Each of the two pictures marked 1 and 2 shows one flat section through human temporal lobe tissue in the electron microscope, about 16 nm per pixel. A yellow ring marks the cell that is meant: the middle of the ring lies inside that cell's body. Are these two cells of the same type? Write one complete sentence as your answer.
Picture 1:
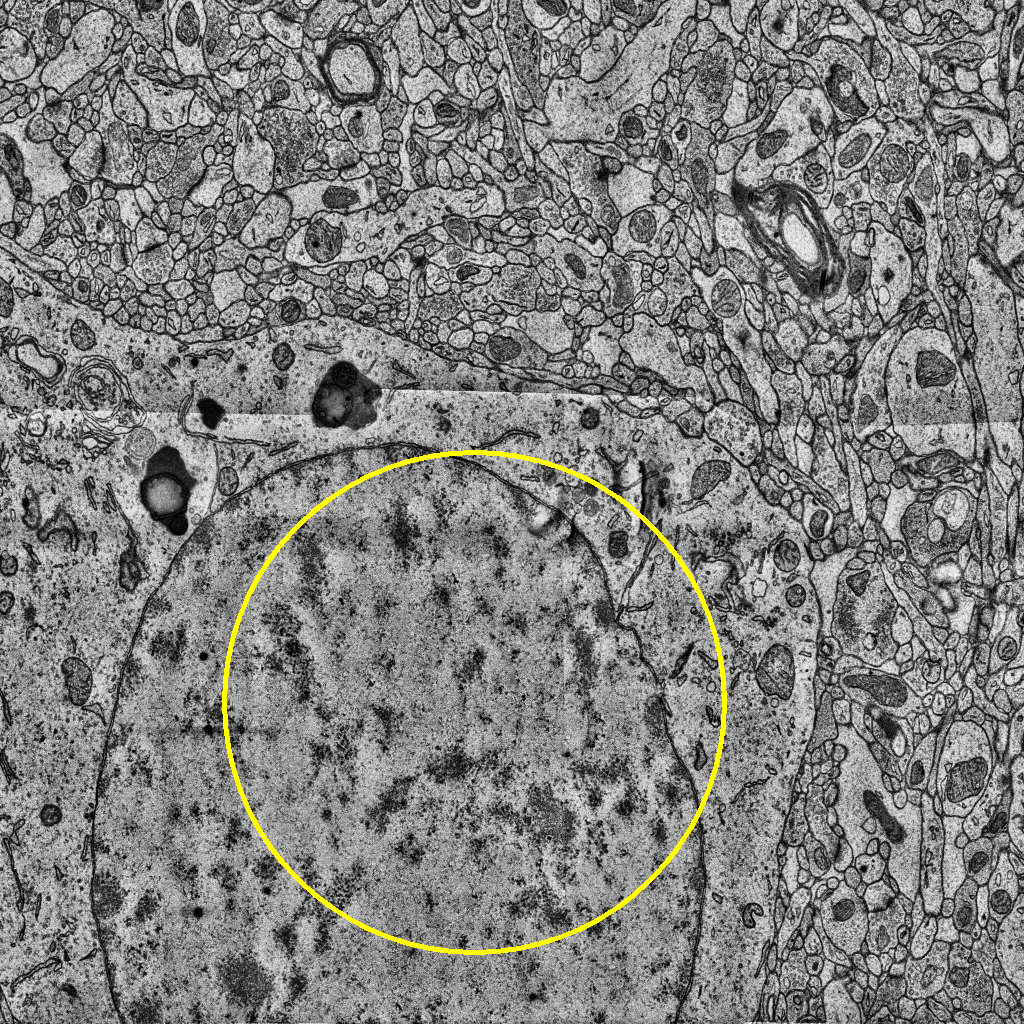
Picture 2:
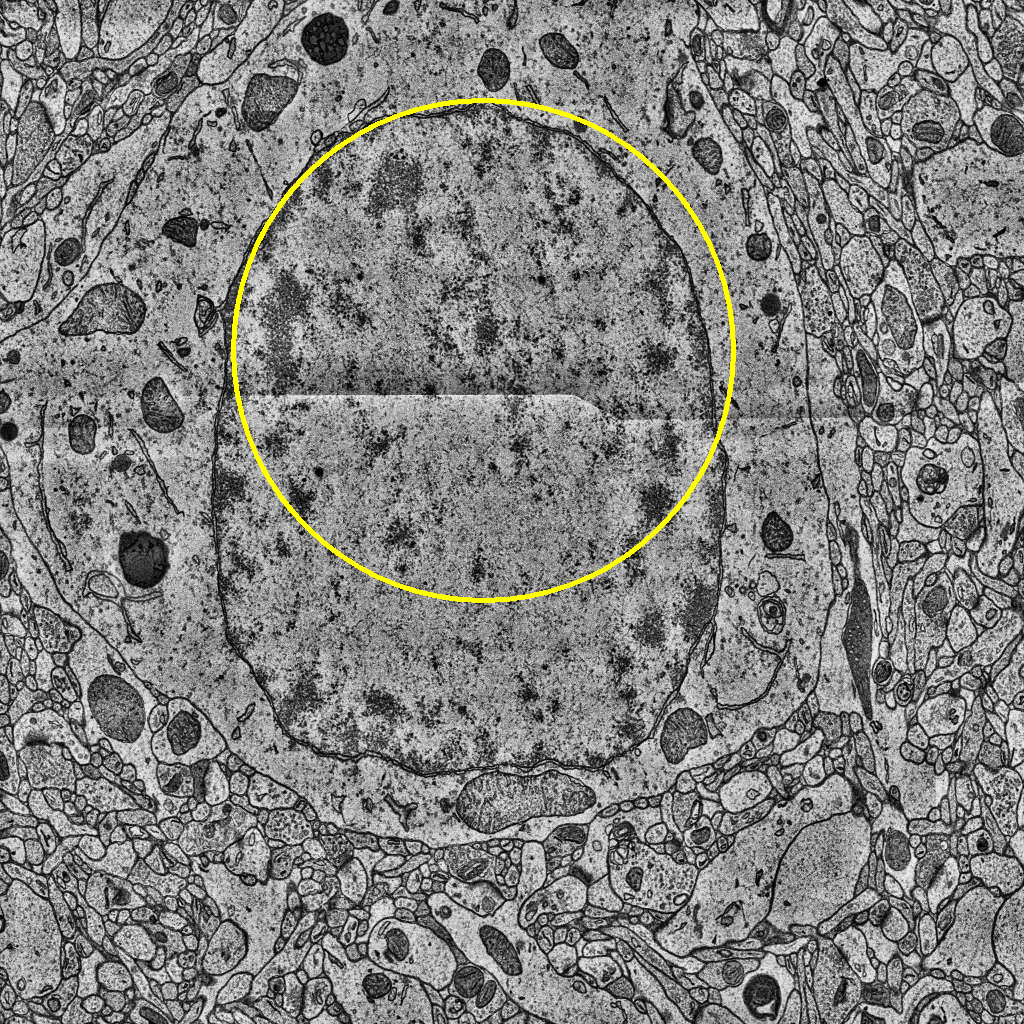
Yes; the cells in both pictures are pyramidal neurons.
